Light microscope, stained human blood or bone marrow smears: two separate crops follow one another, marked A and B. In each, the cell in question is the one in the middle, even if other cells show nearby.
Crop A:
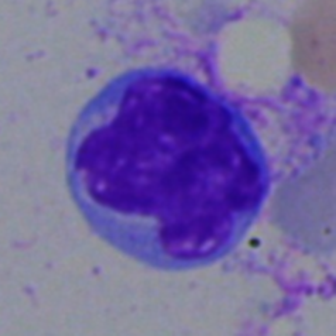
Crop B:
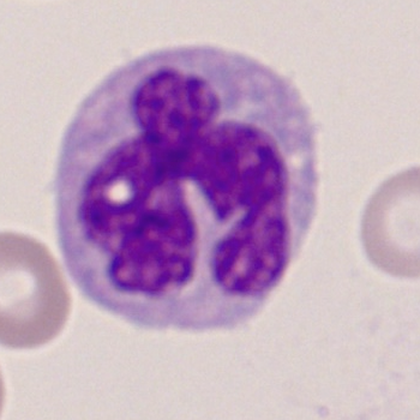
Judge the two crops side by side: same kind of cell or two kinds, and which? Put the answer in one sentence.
No, crop A and crop B show a lymphocyte and a monocyte respectively.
